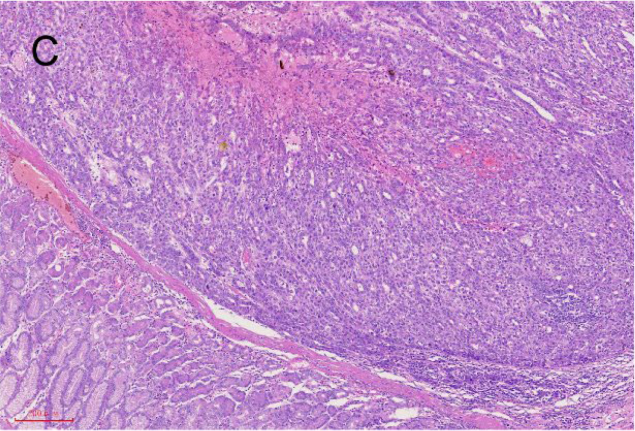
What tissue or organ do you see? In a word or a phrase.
Stomach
